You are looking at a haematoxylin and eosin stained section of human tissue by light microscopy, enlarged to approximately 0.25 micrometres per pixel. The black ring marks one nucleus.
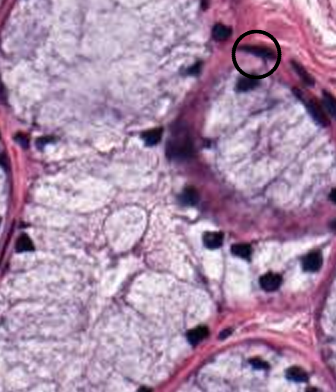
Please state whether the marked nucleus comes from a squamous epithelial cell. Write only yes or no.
no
